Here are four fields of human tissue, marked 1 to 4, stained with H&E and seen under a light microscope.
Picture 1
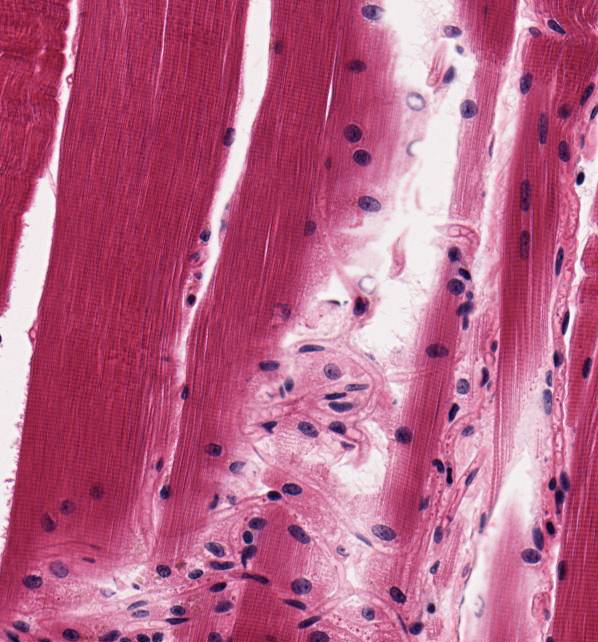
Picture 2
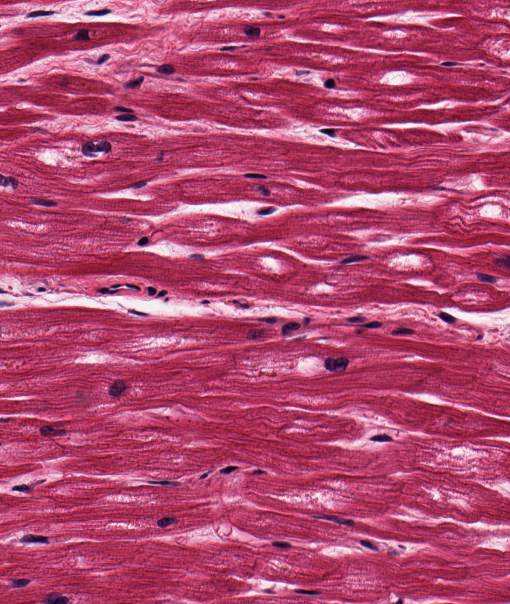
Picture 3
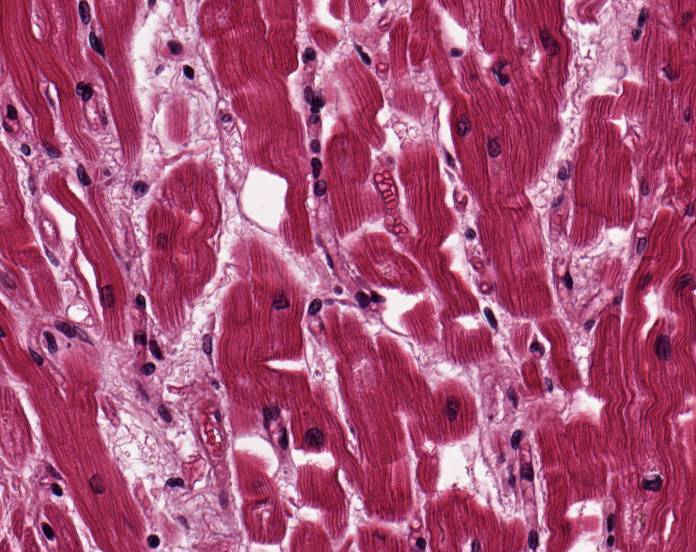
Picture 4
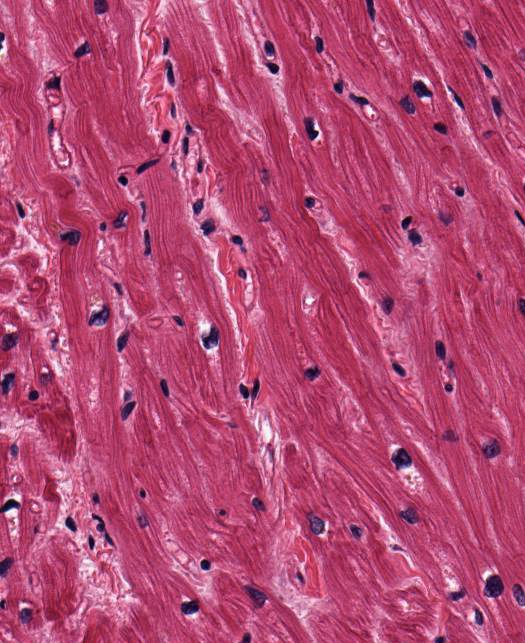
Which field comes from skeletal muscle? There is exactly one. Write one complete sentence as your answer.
Picture 1 is the field that comes from skeletal muscle.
